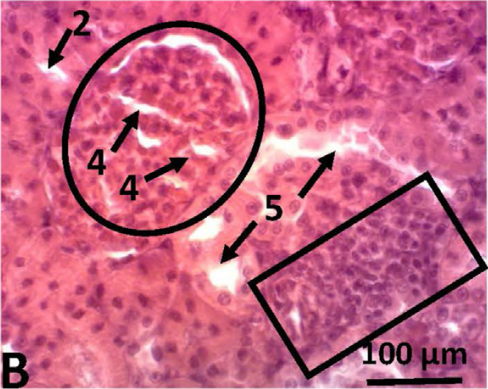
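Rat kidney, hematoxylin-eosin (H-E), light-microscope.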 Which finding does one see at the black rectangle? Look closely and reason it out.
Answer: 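The rectangle encloses a dense sheet of small, dark purple, round nuclei. The cells inside are crowded and lack the pink tubular cytoplasm around them.
Hence: inflammatory cell infiltration.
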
